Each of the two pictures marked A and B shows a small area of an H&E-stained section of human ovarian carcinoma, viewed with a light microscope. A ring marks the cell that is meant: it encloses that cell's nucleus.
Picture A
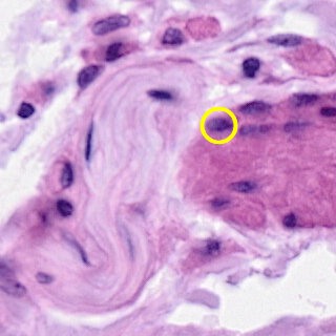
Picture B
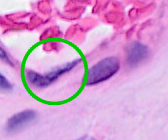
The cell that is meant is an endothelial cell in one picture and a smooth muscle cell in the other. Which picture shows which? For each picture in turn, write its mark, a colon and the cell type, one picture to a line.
A: smooth muscle cell
B: endothelial cell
